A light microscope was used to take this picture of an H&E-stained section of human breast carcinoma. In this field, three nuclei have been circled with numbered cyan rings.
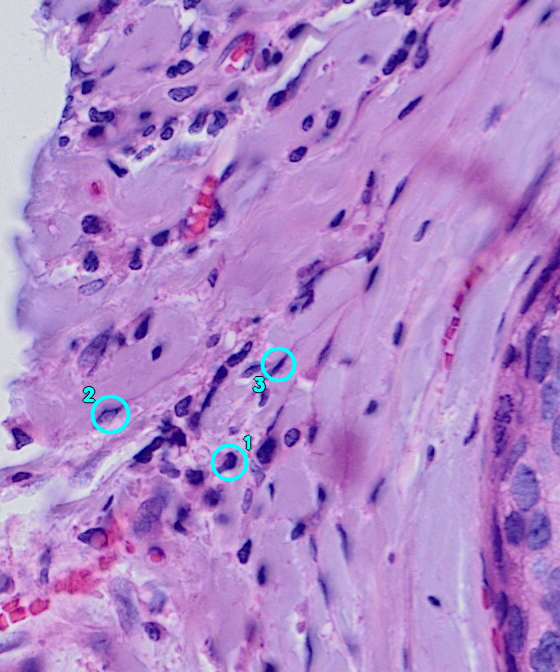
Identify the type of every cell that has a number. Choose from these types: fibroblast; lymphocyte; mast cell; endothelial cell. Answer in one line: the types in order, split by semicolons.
lymphocyte; fibroblast; fibroblast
